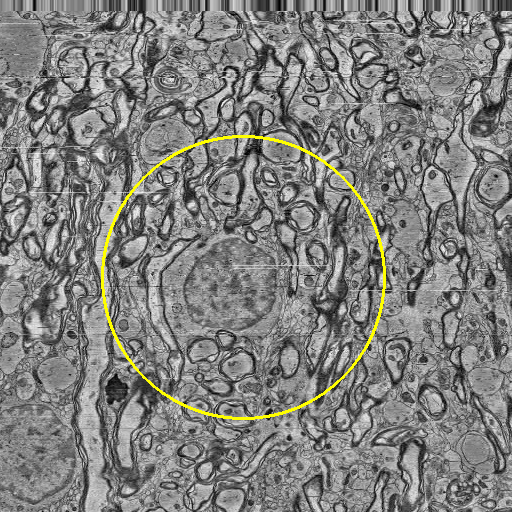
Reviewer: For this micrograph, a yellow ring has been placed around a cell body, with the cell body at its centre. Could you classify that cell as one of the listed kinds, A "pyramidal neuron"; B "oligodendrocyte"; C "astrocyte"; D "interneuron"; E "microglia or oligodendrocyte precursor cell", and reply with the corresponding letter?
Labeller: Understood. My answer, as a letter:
B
